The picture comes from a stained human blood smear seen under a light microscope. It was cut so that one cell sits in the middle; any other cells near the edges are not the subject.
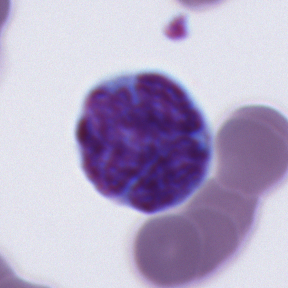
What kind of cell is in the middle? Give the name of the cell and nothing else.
monocyte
